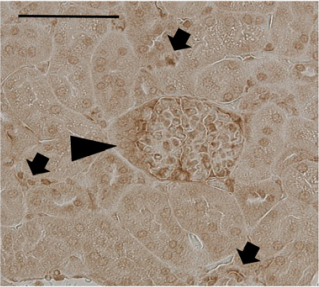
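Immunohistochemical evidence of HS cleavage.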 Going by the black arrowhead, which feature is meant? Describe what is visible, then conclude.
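The tuft is surrounded by tubule cross-sections.
Glomeruli.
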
